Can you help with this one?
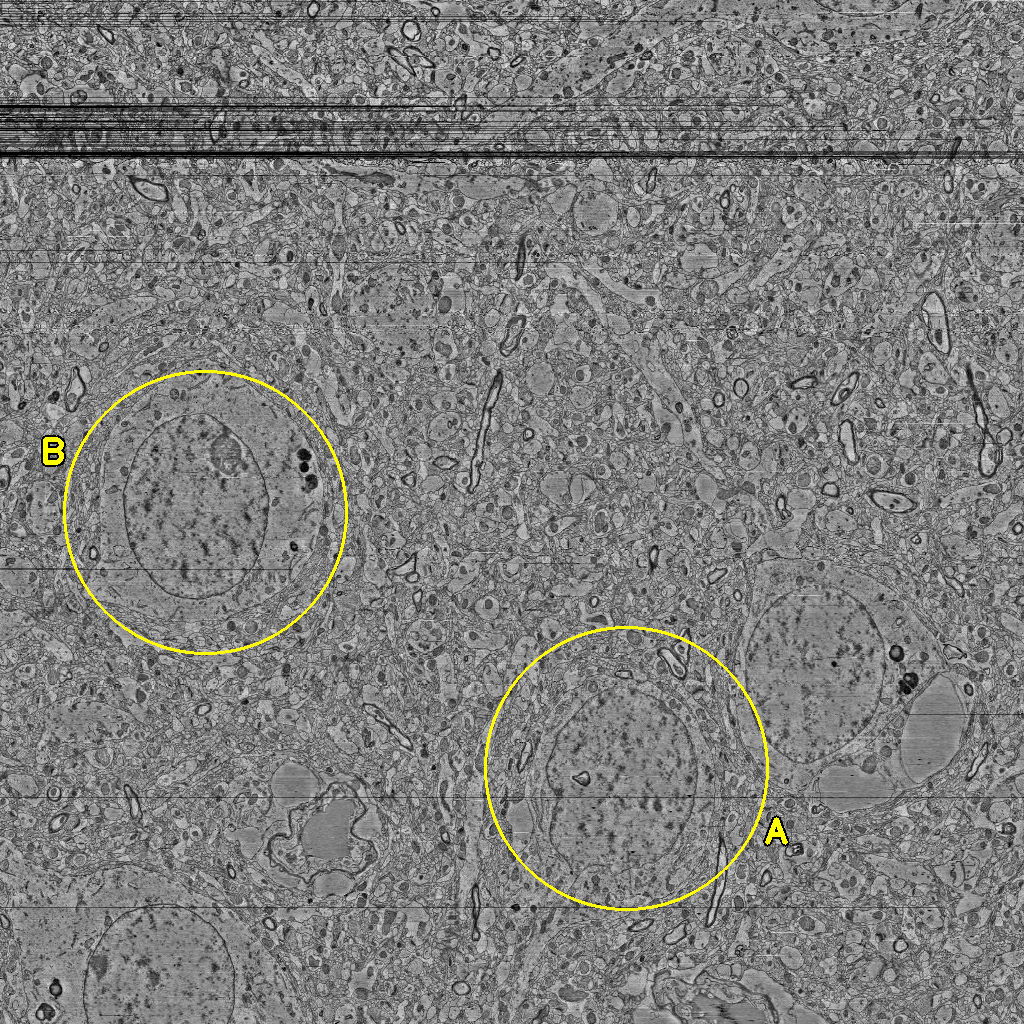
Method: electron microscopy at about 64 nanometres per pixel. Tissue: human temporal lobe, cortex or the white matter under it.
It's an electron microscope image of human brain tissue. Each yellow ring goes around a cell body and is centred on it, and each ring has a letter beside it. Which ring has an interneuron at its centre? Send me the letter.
A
